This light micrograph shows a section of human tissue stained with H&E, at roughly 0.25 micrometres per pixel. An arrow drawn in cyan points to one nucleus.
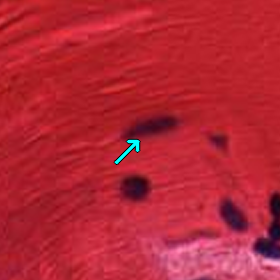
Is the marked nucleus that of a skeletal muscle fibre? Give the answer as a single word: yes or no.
yes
